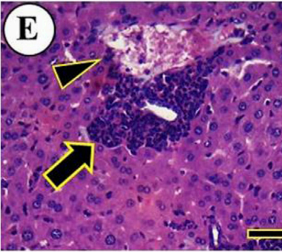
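Liver tissue with a vessel containing pink-red material, beside which lies a dense cluster of small, dark, round-nucleated lymphocytic cells. The hepatocytes around it have pink cytoplasm and dark, prominent nuclei and are arranged without orderly cords.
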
